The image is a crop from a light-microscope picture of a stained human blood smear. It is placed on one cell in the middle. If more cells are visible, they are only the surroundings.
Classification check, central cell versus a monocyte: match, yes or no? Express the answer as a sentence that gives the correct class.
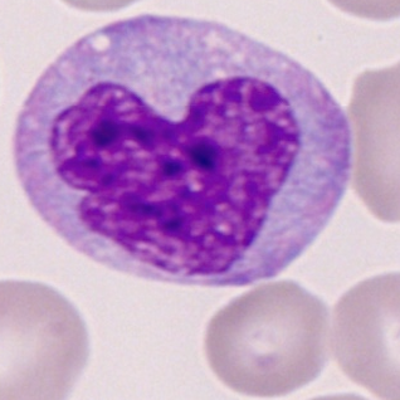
Yes, the central cell of this crop corresponds to a monocyte.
